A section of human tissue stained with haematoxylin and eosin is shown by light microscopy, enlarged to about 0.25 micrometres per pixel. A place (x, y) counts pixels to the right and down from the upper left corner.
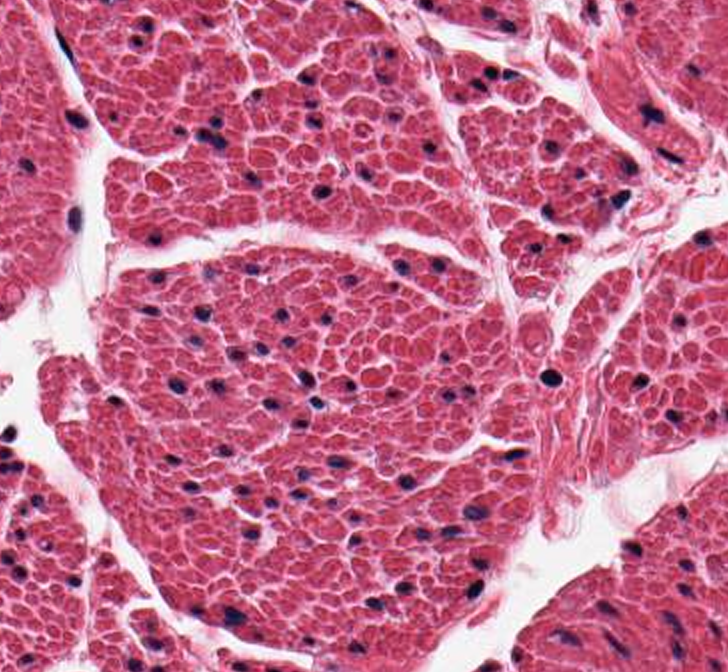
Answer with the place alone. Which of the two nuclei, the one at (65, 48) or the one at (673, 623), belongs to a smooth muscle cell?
(673, 623)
